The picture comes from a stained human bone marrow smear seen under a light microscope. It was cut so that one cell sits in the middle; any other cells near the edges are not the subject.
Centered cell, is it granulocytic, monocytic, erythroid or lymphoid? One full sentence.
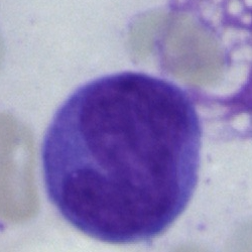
That the central cell belongs to the monocytic lineage is the finding here.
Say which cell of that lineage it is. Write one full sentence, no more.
Standing at the centre of this crop is a monocyte.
